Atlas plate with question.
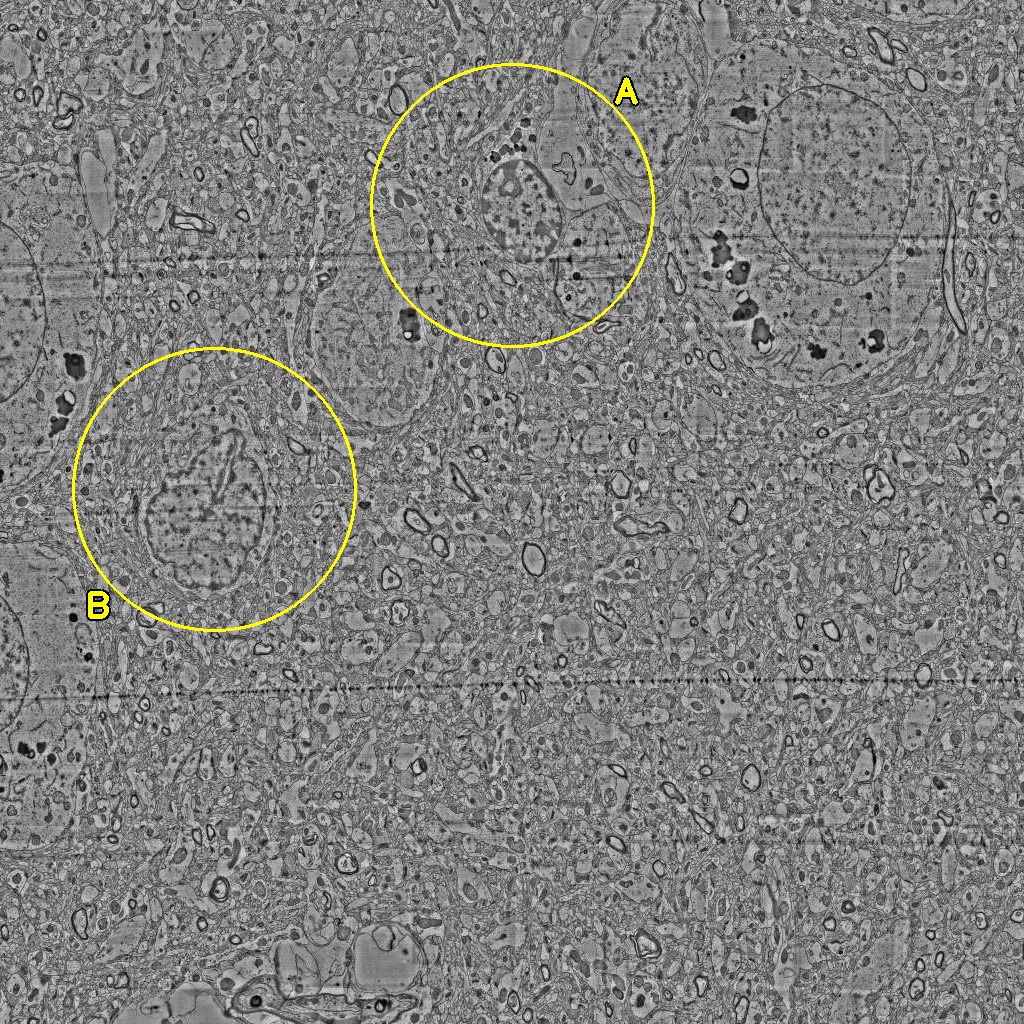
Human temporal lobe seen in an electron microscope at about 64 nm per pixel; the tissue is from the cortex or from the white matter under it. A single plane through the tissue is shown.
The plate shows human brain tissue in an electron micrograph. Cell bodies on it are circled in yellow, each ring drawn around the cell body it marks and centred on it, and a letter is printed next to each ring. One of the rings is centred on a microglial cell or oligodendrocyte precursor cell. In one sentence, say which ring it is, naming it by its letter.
It is ring A.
